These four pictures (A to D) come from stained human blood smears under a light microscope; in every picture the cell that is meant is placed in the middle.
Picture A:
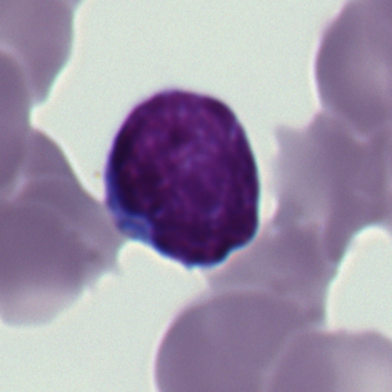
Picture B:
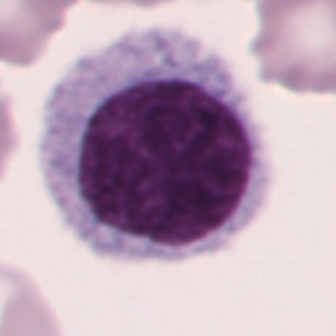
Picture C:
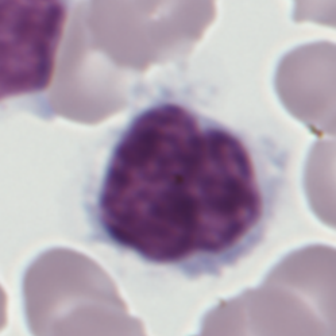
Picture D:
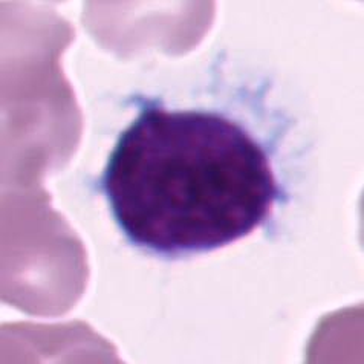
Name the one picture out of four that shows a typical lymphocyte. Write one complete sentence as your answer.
Picture A shows the typical lymphocyte.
